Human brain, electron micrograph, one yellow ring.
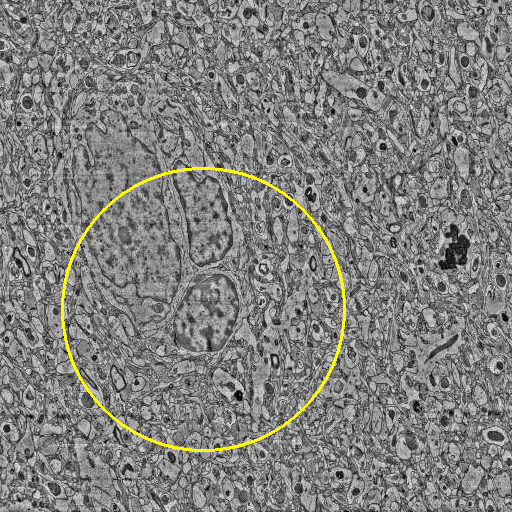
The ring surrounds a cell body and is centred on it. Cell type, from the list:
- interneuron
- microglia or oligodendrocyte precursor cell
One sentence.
The yellow ring circles a microglial cell or oligodendrocyte precursor cell.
